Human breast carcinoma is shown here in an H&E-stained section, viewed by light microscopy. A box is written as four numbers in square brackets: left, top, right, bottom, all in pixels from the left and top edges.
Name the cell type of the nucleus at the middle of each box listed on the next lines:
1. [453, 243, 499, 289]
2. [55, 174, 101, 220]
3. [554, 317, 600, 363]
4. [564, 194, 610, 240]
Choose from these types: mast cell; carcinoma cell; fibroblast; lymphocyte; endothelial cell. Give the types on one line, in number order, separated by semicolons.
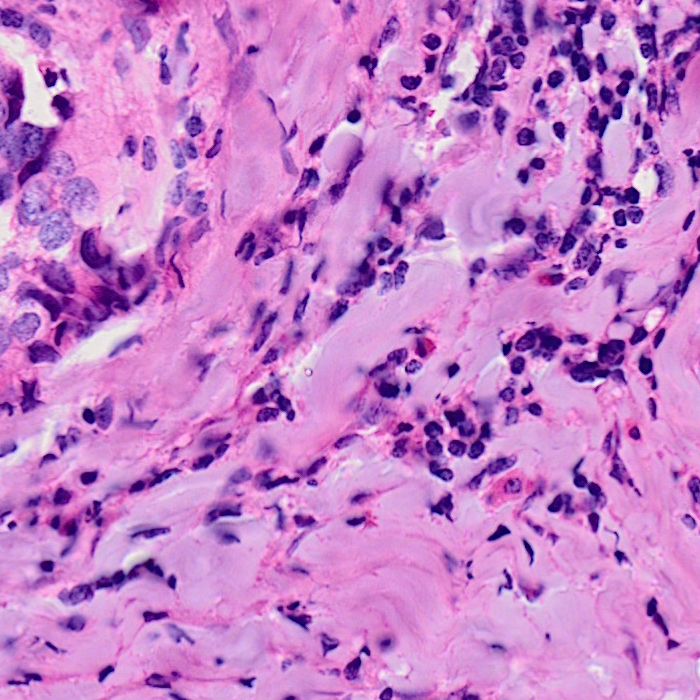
lymphocyte; carcinoma cell; lymphocyte; lymphocyte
